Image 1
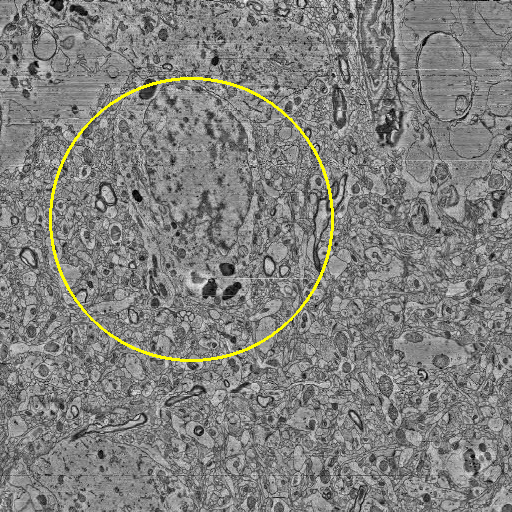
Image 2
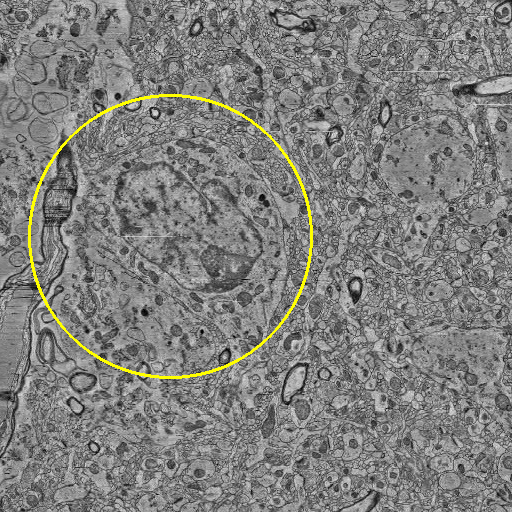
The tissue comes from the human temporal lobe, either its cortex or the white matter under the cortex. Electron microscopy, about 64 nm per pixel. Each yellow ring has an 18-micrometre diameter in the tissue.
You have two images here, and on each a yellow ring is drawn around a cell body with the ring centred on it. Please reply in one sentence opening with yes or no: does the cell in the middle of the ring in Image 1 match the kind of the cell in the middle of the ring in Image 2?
Yes, the two images show cells of one kind at the centres of their rings.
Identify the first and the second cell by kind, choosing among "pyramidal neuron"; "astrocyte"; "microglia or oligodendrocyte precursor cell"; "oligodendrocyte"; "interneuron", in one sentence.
Each of the two pictures has an interneuron at the ring centre.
